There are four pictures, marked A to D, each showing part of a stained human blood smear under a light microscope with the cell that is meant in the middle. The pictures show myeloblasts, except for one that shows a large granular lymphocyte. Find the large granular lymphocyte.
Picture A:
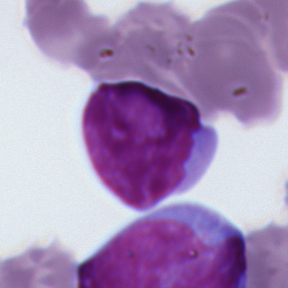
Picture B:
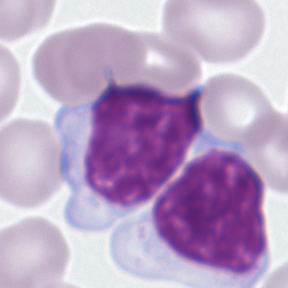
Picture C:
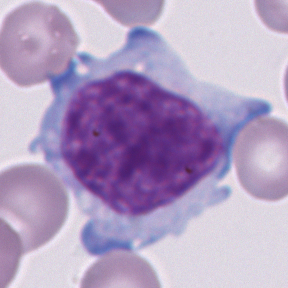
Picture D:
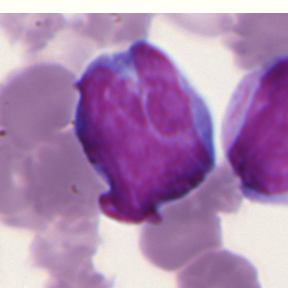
B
